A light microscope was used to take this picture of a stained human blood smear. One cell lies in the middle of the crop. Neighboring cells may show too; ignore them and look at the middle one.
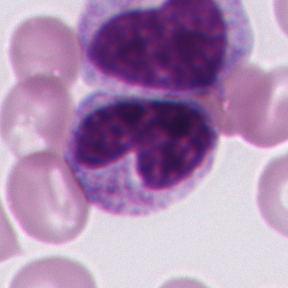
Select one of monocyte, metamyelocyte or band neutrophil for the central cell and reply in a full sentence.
This crop's central cell is a band neutrophil.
